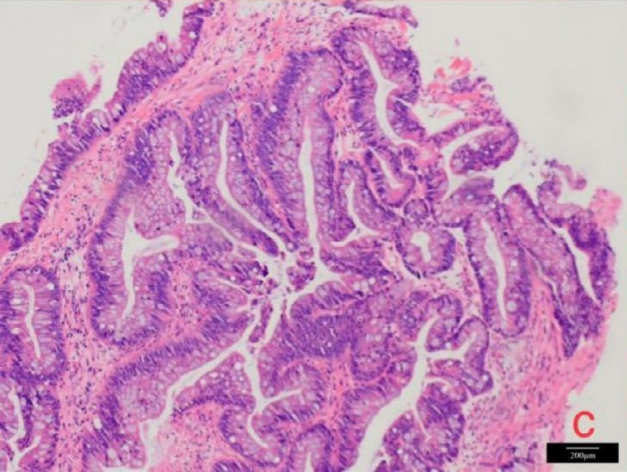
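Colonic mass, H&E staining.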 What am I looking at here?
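Glandular epithelium forming crowded, branching glands of irregular outline with narrow intervening pink stroma. The glands are lined by tall columnar cells whose nuclei are elongated, dark purple and crowded, stacked in several layers in places. Scattered clear vacuoles lie in the cytoplasm of some lining cells. The stroma between glands holds scattered small dark inflammatory cells.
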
